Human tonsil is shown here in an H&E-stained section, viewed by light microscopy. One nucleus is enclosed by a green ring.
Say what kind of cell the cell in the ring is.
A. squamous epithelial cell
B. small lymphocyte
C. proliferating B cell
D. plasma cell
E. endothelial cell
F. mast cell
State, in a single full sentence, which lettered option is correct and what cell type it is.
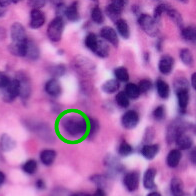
Option E holds, since the cell in the ring is an endothelial cell.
